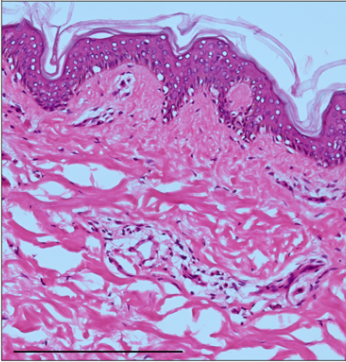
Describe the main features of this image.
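This is a section of skin, with a stratified squamous epidermis on top whose cells carry purple nuclei and sit in an undulating layer above the dermis. Thin layers of keratin peel off the surface. Below, the dermis consists of pink, wavy collagen bundles separated by pale spaces. In the lower dermis a cluster of small vessels with crowded purple nuclei can be seen among the collagen.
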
